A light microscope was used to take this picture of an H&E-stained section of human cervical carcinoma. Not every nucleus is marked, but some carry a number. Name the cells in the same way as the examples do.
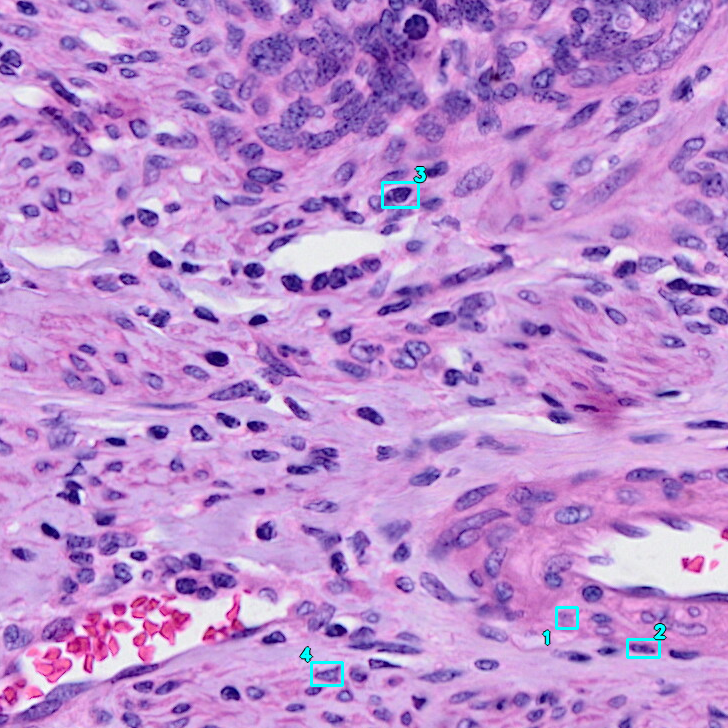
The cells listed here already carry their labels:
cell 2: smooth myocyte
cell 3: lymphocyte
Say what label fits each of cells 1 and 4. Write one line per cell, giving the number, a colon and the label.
1: smooth myocyte
4: smooth myocyte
